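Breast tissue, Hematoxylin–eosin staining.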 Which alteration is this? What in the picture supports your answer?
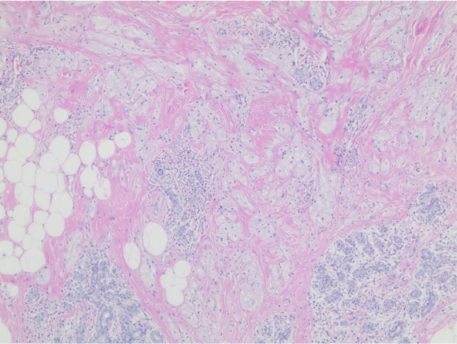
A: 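Nests of atypical cells featuring abundant cytoplasm. Clusters of pale pink cells with ample cytoplasm lie scattered in the stroma. The clusters sit among fibrous pink stroma and fat vacuoles.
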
